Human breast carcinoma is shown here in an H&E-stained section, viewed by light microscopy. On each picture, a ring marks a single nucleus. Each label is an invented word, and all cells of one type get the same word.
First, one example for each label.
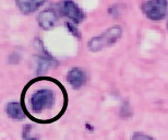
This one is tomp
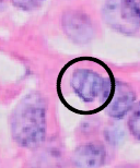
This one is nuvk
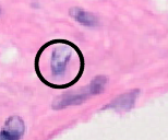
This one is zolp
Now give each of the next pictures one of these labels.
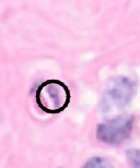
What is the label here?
zolp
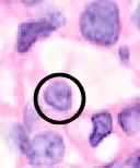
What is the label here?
nuvk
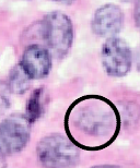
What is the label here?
nuvk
